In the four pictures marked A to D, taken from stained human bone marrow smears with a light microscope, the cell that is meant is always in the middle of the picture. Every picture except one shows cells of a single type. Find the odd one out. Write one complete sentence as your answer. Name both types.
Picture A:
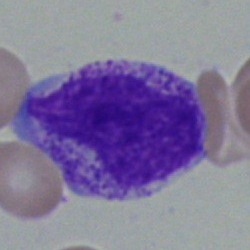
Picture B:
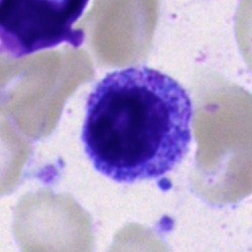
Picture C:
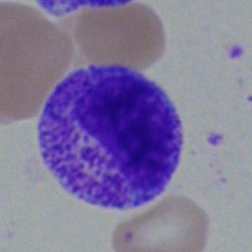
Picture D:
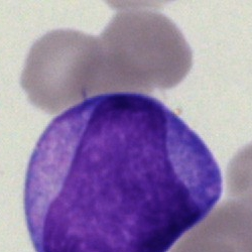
Unlike the rest, which show myelocytes, picture D shows a blast.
